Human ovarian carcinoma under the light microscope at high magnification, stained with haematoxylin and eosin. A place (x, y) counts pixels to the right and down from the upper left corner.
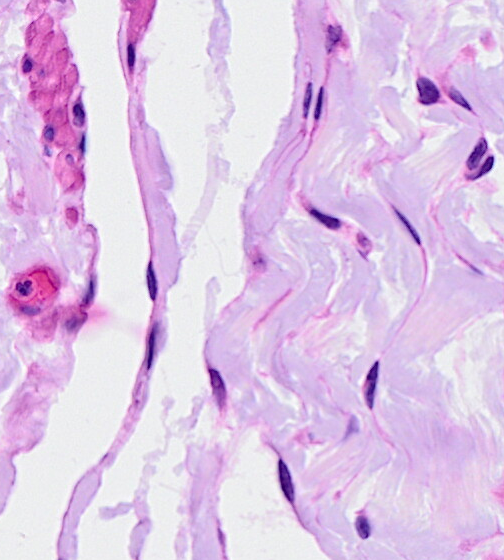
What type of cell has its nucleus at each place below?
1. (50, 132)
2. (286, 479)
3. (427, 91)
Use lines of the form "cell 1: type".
cell 1: smooth muscle cell
cell 2: endothelial cell
cell 3: fibroblast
